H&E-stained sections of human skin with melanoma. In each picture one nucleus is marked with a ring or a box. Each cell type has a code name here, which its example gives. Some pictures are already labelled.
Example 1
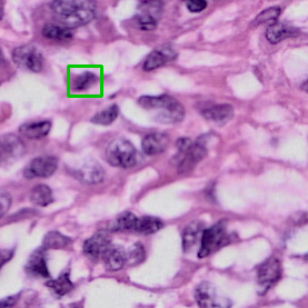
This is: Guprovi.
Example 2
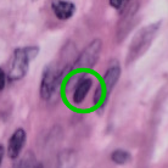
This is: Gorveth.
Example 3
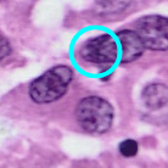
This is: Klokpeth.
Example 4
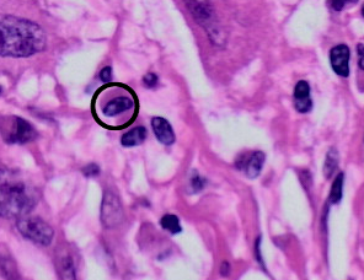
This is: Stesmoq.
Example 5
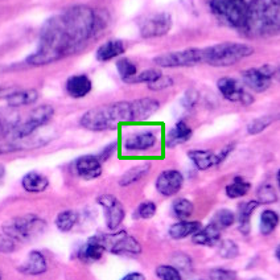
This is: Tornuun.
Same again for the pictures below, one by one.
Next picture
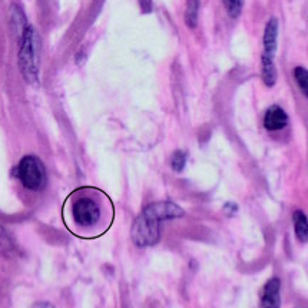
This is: Stesmoq.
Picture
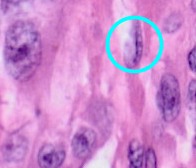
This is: Gorveth.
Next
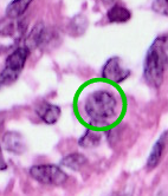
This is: Klokpeth.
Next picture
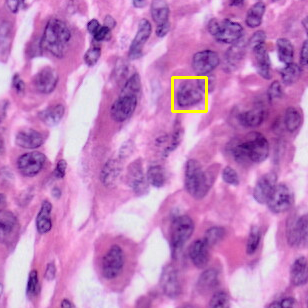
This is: Klokpeth.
